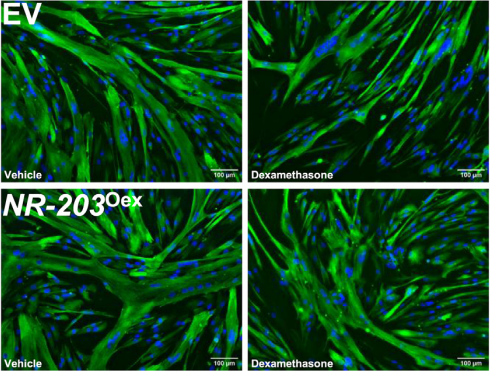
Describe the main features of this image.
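The myotubes appear as slender, ribbon-like green cells that taper at their ends and often run roughly parallel, sometimes crossing one another. Small oval blue nuclei lie in rows along the length of the myotubes, while other nuclei sit singly among smaller, less elongated cells between them. The green cytoplasm fills the cell bodies fairly evenly, with some cells brighter than others. Dark spaces without green cells separate the bundles of myotubes in places.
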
